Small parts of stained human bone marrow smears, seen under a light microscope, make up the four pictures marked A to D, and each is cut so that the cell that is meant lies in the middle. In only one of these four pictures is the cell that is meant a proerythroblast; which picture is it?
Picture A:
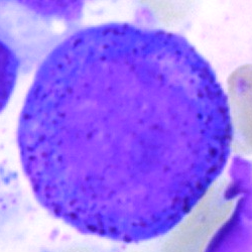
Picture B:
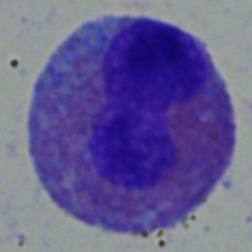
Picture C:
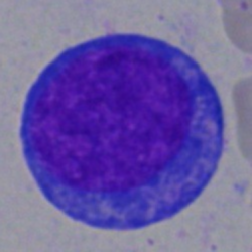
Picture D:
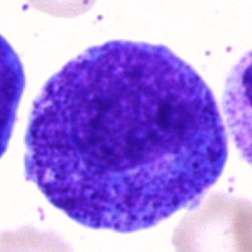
C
